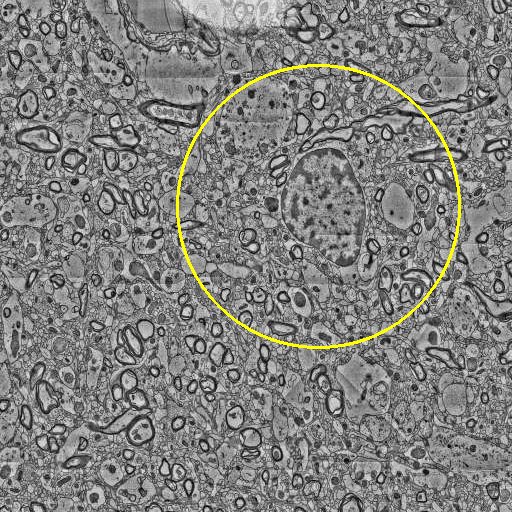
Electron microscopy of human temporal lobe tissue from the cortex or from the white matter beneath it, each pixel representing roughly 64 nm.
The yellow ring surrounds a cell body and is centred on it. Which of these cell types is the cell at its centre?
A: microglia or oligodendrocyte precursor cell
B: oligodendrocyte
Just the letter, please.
A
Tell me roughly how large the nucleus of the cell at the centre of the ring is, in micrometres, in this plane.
Roughly 7 micrometres by 5 micrometres, in this plane.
